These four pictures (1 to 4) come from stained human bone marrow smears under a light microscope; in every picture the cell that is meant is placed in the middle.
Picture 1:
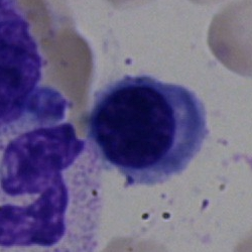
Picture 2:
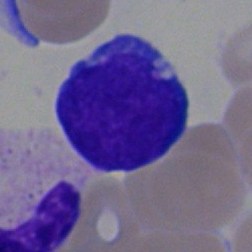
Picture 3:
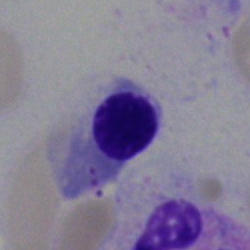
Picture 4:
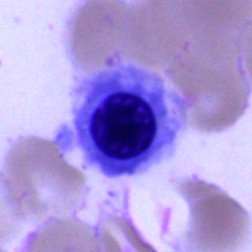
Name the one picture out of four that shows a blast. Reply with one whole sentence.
The cell in picture 2 is the blast.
